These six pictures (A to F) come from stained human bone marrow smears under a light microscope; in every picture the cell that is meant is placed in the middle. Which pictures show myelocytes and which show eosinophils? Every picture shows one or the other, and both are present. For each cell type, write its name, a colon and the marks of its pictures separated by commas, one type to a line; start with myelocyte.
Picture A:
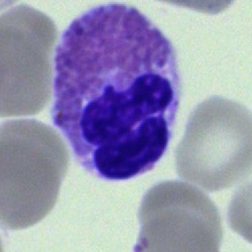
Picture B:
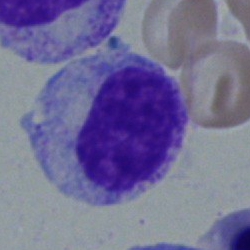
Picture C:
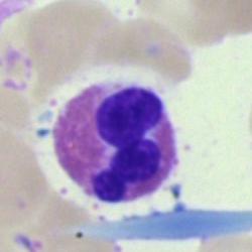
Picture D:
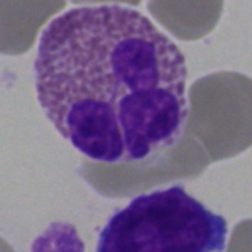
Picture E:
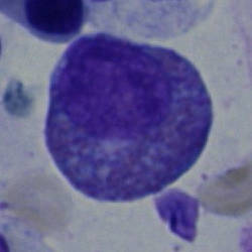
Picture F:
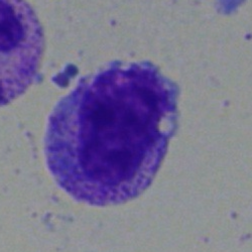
myelocyte: B, F
eosinophil: A, C, D, E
